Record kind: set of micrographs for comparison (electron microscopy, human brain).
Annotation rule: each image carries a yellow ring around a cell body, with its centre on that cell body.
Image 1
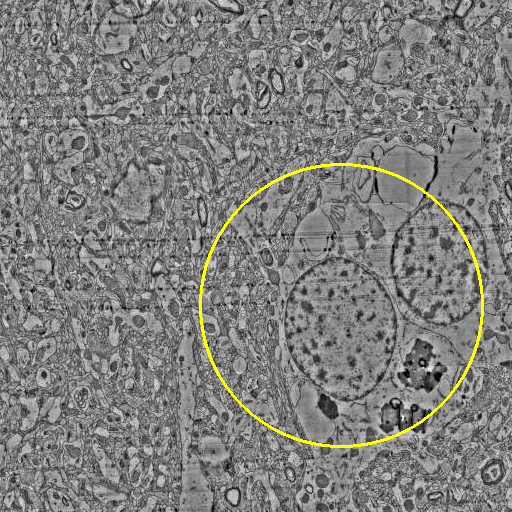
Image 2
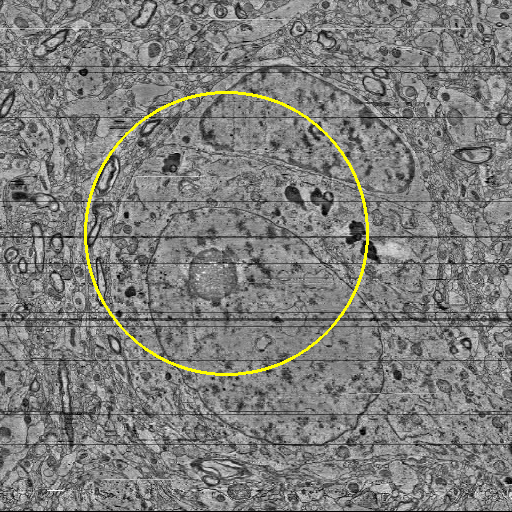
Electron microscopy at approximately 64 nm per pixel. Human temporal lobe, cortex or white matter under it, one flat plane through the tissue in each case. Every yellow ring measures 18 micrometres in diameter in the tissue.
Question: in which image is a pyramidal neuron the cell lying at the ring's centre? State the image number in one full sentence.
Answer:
In image 2, the ring is centred on the cell in question.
